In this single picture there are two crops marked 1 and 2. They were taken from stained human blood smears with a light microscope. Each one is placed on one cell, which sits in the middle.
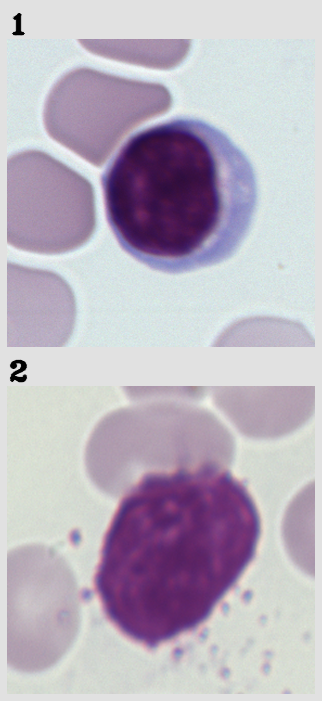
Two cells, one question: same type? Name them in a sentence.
No, a smudge cell is the cell in crop 2, and crop 1 contains a typical lymphocyte.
